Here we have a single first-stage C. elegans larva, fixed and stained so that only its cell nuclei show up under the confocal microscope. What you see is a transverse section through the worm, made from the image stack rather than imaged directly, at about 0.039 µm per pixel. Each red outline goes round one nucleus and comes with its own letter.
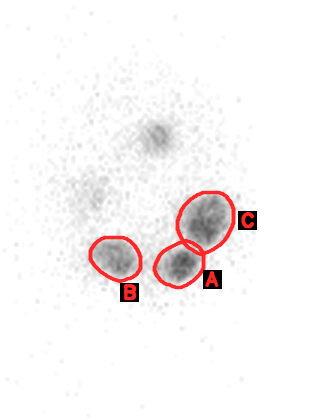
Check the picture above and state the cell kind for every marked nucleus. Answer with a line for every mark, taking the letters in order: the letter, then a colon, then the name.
A: body wall muscle cell
B: body wall muscle cell
C: seam cell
